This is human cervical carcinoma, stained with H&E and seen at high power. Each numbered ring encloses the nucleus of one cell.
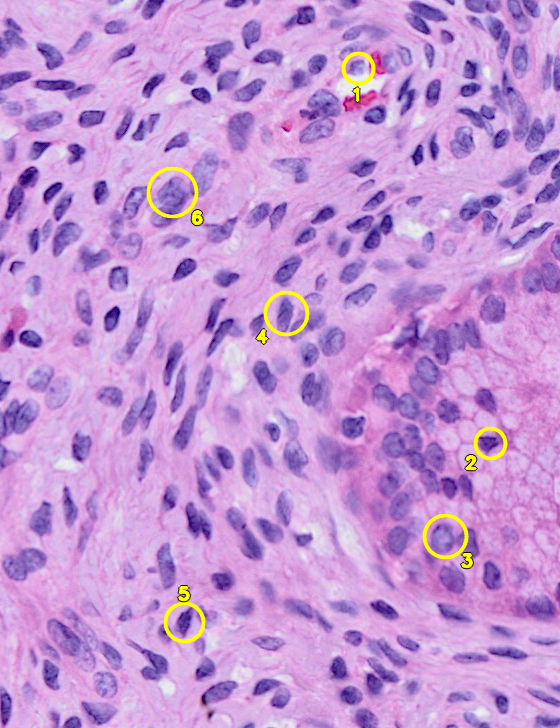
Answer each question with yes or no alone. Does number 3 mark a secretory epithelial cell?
yes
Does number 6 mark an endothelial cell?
yes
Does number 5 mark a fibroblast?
yes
